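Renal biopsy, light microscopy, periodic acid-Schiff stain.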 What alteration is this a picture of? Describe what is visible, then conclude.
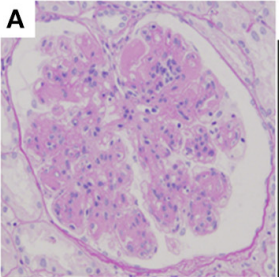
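The glomerular tuft is divided into several rounded lobules. The tuft is crowded with nuclei. Bowman's capsule surrounds the tuft.
Conclusion: Lobulation of a glomerulus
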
